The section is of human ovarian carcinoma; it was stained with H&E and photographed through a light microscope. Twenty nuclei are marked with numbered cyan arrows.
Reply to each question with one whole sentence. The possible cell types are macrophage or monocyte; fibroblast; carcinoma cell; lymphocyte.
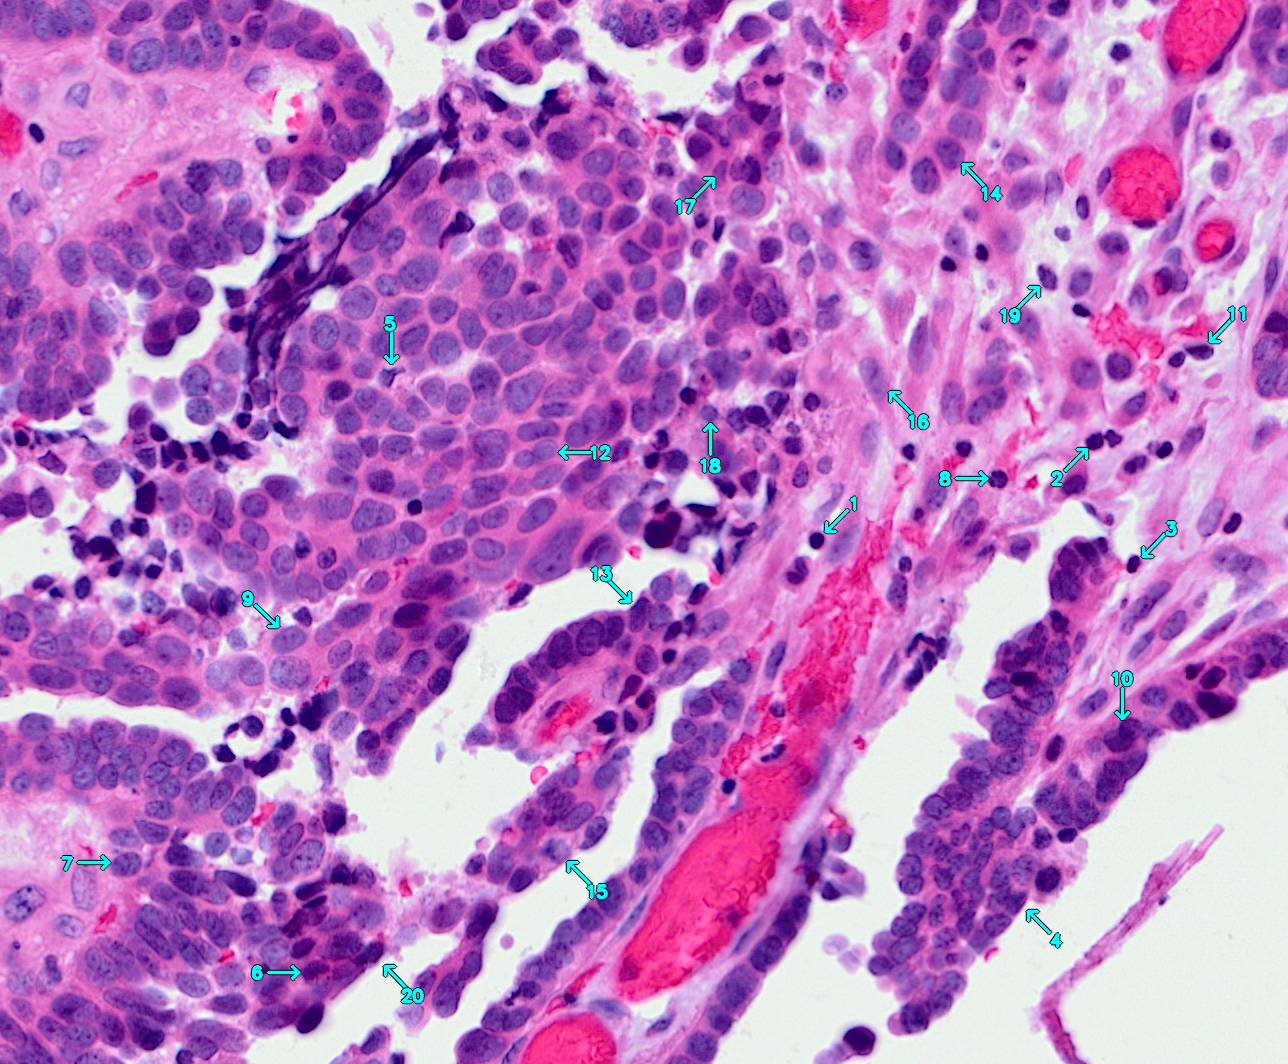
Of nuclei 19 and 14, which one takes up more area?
At about 1.5 times the area of nucleus 19, nucleus 14 is the larger of the two.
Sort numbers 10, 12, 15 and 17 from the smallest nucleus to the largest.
From smallest to largest, the order is 17, 12, 15, 10.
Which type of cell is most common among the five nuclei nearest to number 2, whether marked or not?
The majority of the five nuclei closest to number 2 belong to fibroblasts.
